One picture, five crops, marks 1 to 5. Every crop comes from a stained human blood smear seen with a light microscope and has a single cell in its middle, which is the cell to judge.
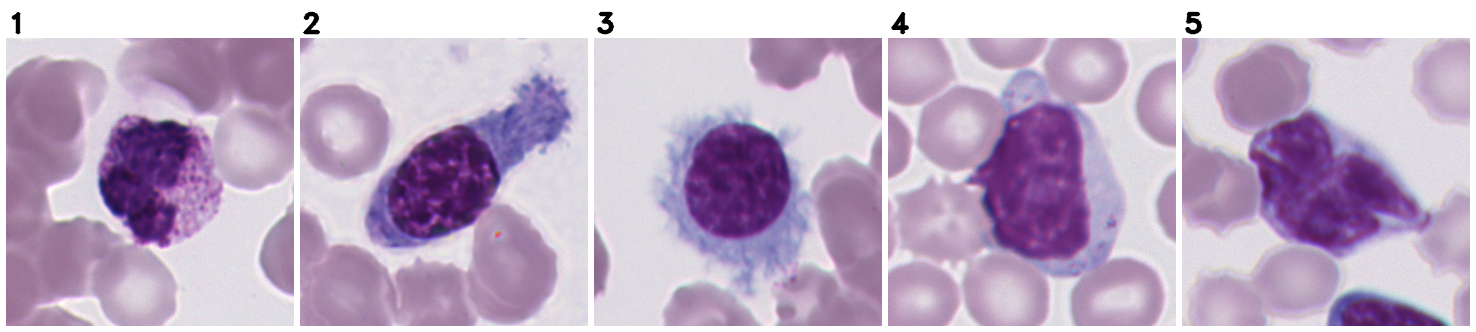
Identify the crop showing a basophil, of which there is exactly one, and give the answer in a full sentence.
On review of the set, crop 1 is the one showing a basophil.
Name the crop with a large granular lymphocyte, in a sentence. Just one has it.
Crop 4 alone, of all the crops, shows a large granular lymphocyte.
